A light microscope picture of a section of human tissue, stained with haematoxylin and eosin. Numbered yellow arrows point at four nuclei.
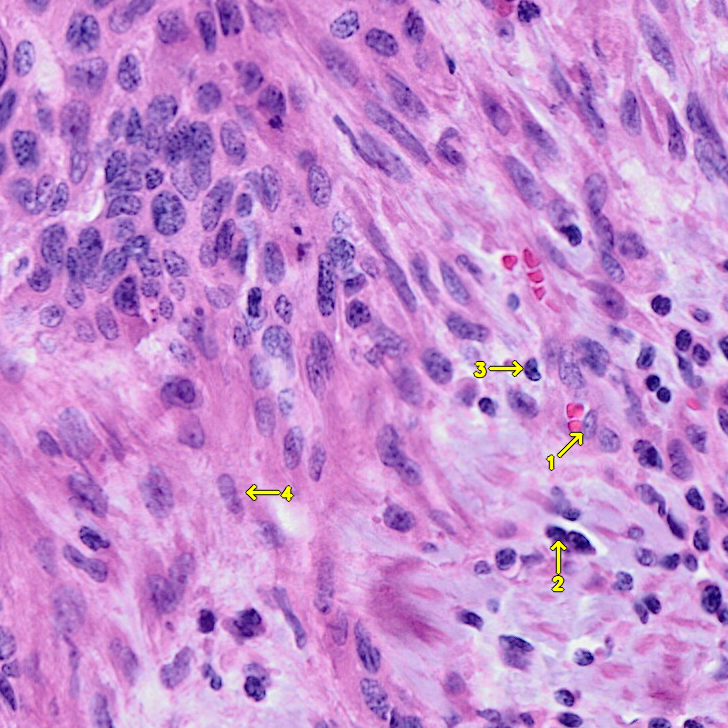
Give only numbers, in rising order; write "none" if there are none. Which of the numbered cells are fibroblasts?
4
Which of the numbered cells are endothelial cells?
1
